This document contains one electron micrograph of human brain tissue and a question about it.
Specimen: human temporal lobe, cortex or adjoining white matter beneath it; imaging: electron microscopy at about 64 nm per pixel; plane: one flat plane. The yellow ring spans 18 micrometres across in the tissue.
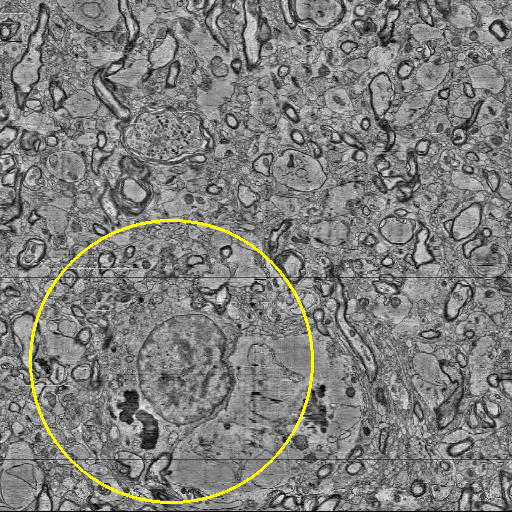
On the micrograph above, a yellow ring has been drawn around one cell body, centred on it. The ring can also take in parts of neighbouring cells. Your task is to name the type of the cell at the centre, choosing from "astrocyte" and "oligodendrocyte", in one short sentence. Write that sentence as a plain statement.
Here the ring is centred on an oligodendrocyte.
